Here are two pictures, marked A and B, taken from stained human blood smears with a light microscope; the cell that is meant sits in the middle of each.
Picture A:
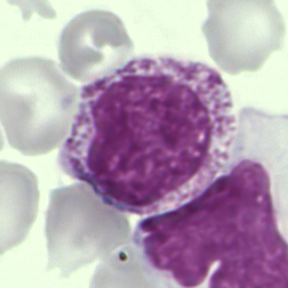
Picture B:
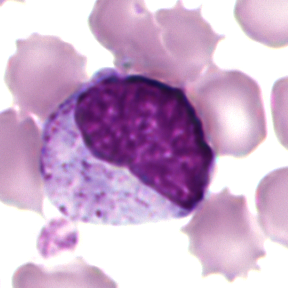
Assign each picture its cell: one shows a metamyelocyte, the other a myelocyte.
A: myelocyte
B: metamyelocyte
